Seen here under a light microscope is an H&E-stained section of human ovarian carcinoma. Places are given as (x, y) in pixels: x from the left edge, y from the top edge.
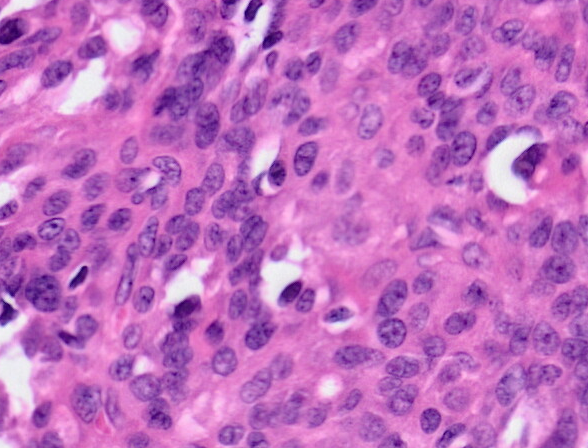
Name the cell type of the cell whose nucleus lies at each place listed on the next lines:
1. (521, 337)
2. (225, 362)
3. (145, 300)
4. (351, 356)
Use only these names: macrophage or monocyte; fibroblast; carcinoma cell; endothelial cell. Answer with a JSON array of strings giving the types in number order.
["carcinoma cell", "carcinoma cell", "macrophage or monocyte", "carcinoma cell"]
